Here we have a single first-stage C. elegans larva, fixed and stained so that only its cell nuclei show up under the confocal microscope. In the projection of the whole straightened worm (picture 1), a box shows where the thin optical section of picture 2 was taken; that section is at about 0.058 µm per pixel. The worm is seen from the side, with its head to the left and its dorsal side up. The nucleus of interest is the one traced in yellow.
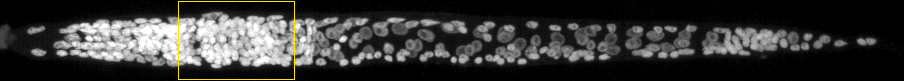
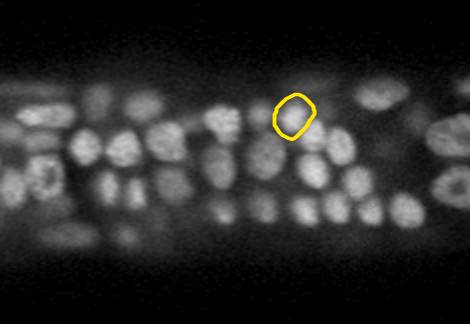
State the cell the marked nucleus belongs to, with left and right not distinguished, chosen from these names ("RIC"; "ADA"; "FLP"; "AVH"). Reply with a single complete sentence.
The nucleus is from AVH, a neuron.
